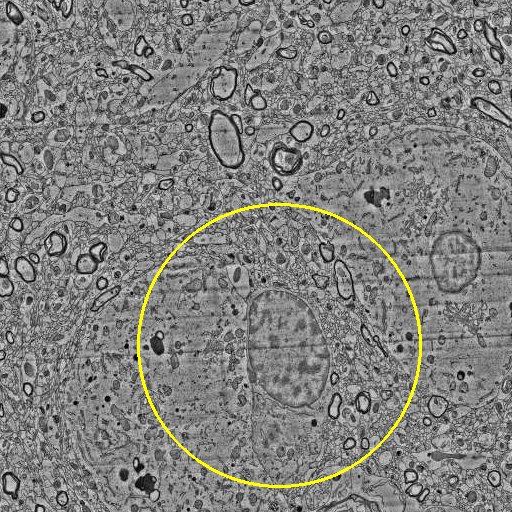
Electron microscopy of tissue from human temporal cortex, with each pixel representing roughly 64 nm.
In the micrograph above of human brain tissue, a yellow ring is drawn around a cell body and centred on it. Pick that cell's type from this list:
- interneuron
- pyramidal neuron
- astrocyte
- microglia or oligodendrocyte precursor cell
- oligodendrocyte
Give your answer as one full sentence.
Going by the list, an oligodendrocyte is the cell on which the yellow ring is centred.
